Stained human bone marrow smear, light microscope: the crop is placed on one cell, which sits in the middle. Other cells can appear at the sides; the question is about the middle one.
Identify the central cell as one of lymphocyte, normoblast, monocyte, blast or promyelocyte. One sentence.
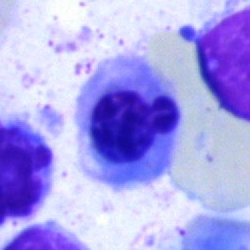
In this crop, the cell at the very middle is a normoblast.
